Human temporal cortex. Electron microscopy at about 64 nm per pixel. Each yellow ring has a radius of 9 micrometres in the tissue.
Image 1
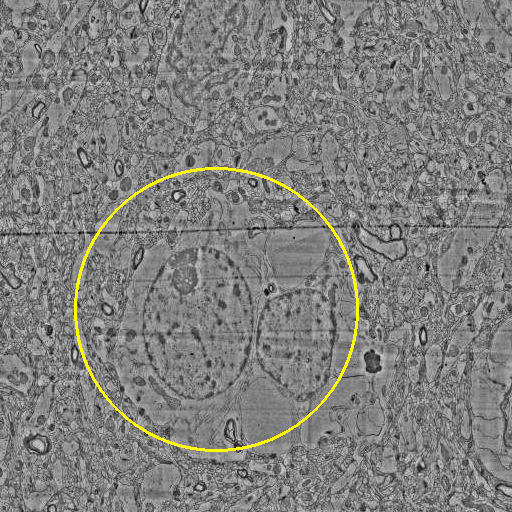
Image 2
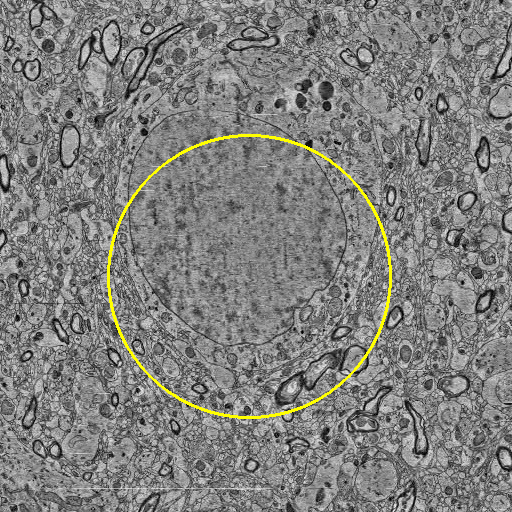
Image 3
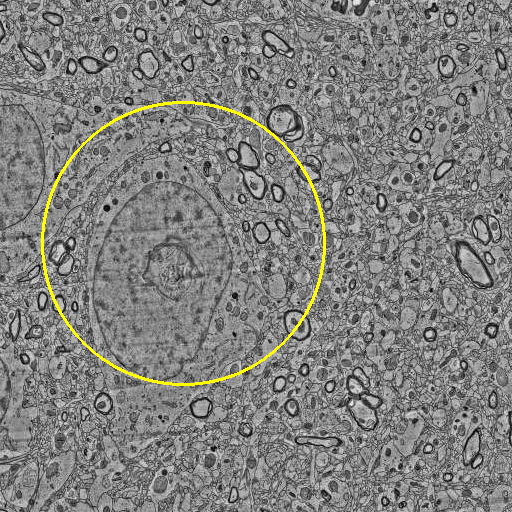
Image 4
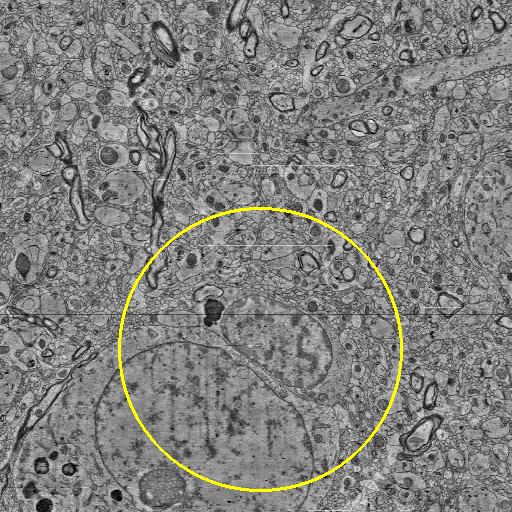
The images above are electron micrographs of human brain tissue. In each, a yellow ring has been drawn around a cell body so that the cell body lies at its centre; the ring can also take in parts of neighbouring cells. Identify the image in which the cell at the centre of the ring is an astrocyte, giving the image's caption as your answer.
Image 1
